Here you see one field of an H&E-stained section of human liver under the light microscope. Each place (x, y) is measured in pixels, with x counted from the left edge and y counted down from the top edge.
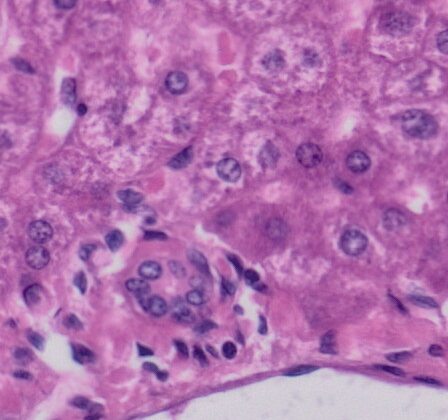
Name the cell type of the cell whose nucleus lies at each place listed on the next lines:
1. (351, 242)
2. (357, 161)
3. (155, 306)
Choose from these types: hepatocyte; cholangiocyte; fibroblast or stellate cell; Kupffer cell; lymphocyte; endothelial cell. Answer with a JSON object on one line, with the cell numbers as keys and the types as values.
{"1": "hepatocyte", "2": "hepatocyte", "3": "cholangiocyte"}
